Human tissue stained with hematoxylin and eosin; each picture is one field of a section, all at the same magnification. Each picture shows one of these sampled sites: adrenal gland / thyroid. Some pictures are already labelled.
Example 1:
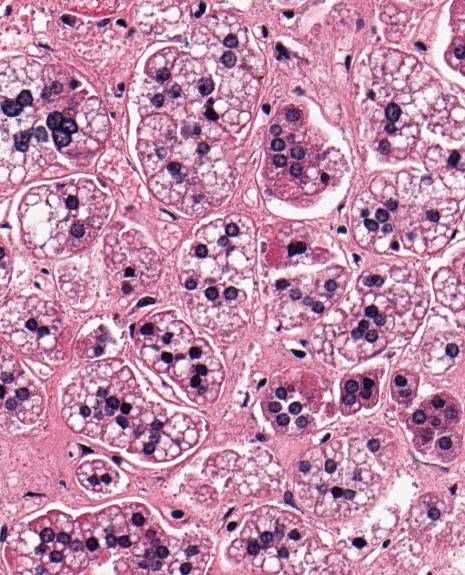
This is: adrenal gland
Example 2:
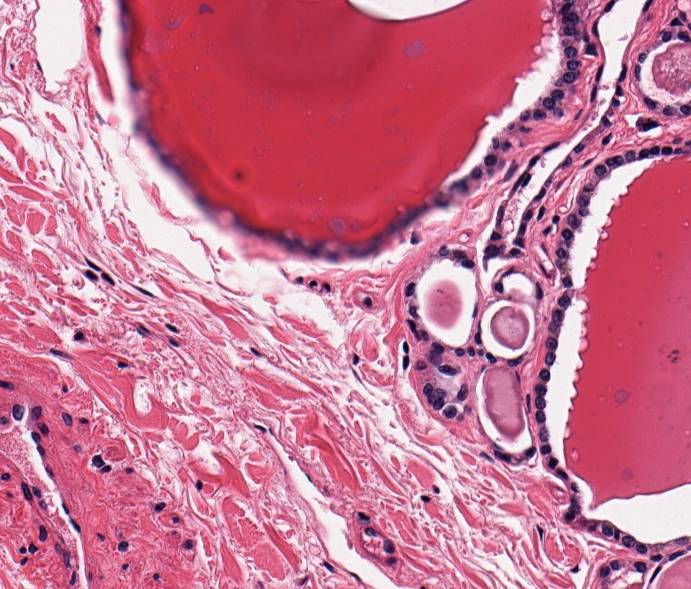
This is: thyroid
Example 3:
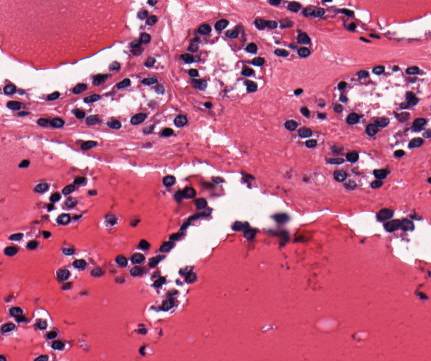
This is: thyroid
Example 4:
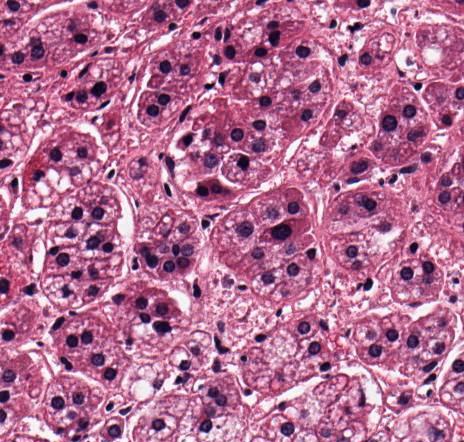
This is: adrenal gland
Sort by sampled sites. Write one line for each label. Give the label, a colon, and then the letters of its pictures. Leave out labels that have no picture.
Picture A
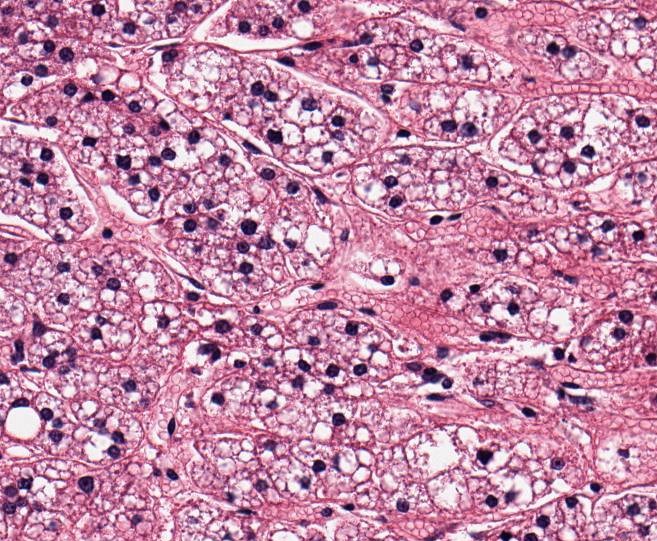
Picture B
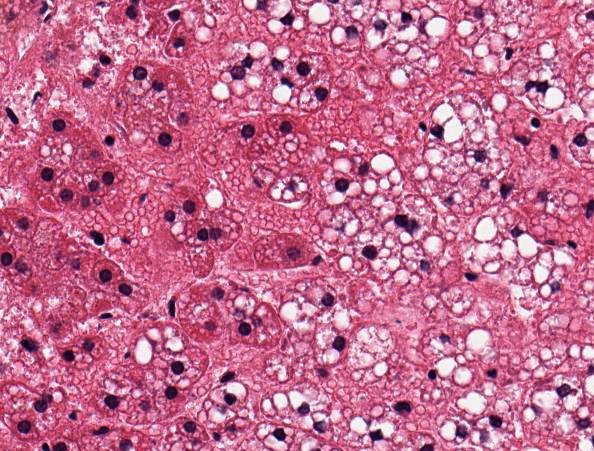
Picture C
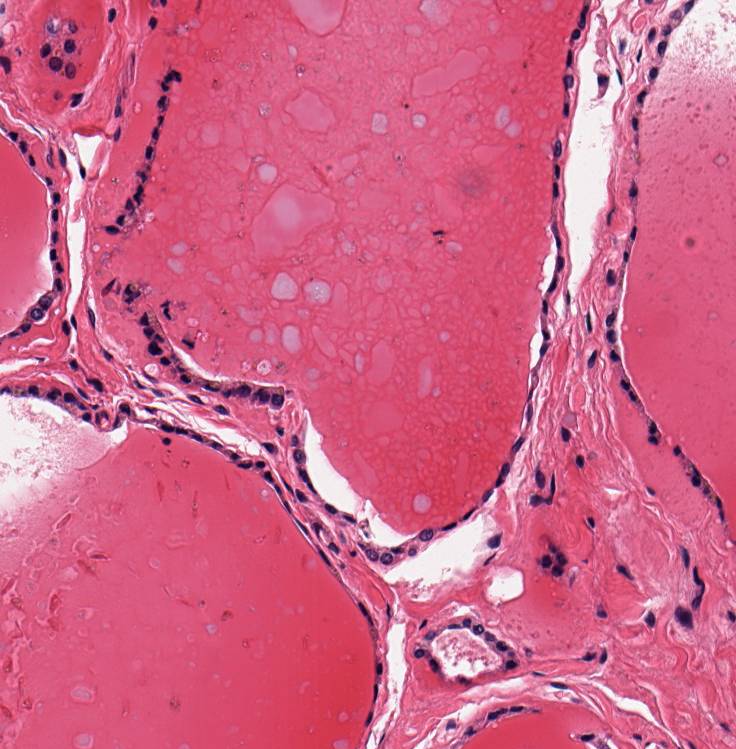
adrenal gland: A, B
thyroid: C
